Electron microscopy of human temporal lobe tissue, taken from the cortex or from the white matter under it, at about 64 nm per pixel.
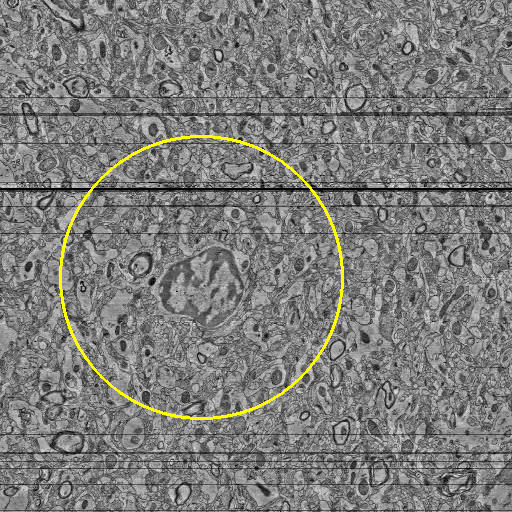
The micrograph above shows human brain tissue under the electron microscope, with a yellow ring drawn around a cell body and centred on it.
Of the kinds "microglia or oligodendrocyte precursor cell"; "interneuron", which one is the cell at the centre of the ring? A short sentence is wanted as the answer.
The one at the centre of the ring is a microglial cell or oligodendrocyte precursor cell.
